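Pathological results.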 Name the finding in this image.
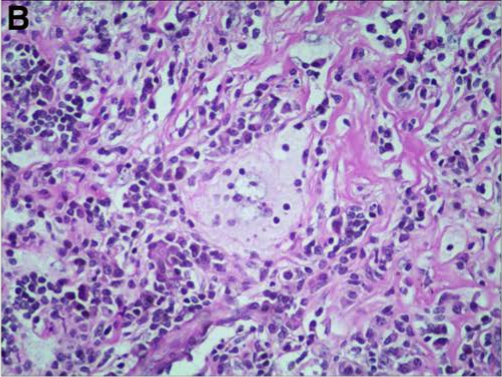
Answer: Phagocytosis or “protrusion” of lymphocytes.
